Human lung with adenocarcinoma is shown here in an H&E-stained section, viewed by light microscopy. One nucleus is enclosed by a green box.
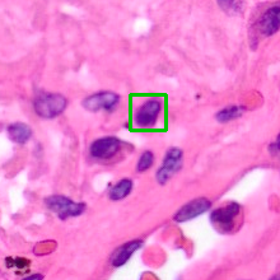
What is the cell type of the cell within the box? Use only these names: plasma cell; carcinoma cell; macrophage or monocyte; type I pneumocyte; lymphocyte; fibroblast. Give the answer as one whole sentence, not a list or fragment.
In cellular terms, the cell within the box is a plasma cell.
